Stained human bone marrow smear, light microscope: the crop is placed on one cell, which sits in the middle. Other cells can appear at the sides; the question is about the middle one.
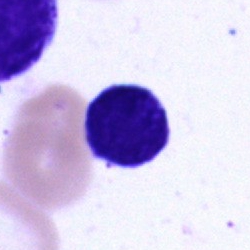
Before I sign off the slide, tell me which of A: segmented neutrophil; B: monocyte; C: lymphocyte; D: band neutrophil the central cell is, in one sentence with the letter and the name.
Option C is the right choice, the central cell being a lymphocyte.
